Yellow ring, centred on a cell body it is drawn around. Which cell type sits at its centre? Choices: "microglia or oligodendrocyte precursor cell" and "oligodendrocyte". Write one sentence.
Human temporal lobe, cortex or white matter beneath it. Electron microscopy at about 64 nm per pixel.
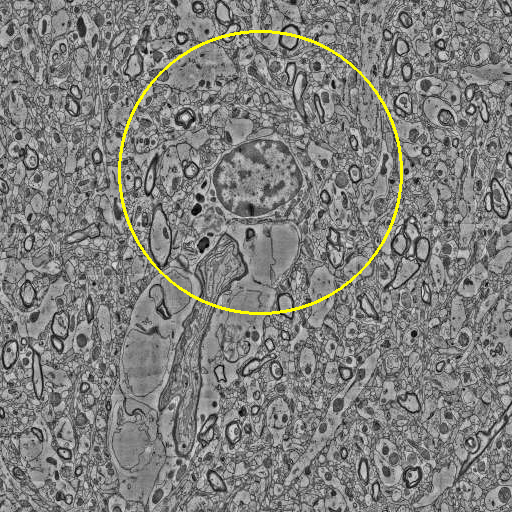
At the centre of the ring sits a microglial cell or oligodendrocyte precursor cell.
